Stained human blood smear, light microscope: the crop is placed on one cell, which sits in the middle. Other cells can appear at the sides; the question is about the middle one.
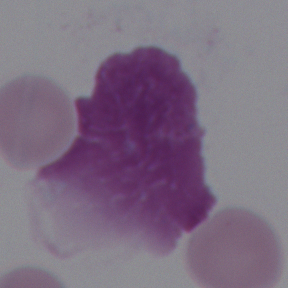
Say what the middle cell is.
smudge cell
